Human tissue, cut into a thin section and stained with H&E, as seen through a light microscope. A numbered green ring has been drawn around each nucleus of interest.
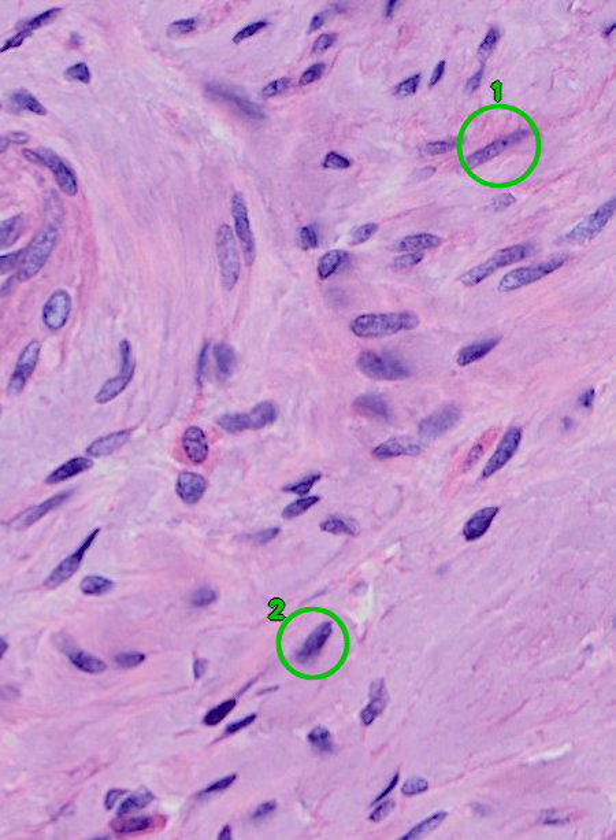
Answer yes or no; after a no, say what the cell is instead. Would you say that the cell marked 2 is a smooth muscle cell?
No, it is a fibroblast.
